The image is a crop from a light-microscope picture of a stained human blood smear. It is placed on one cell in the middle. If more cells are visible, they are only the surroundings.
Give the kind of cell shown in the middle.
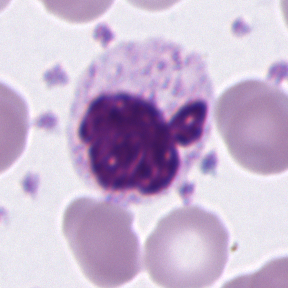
segmented neutrophil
